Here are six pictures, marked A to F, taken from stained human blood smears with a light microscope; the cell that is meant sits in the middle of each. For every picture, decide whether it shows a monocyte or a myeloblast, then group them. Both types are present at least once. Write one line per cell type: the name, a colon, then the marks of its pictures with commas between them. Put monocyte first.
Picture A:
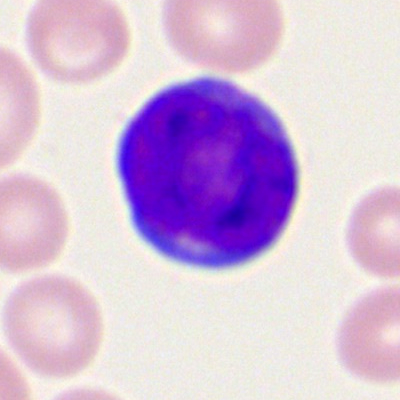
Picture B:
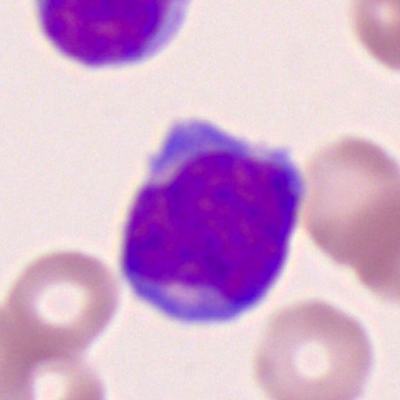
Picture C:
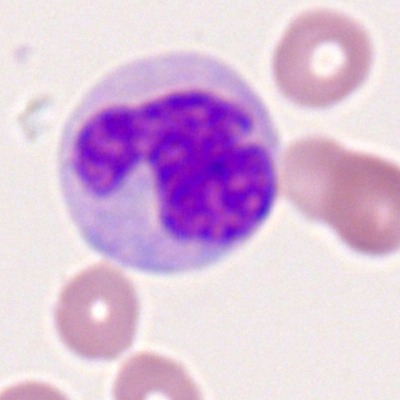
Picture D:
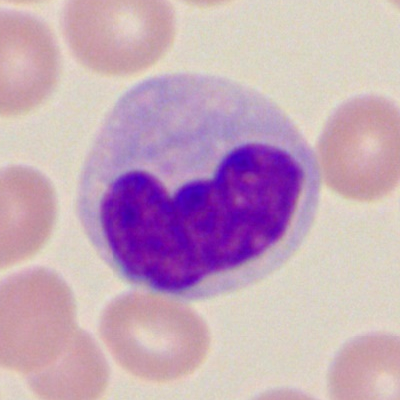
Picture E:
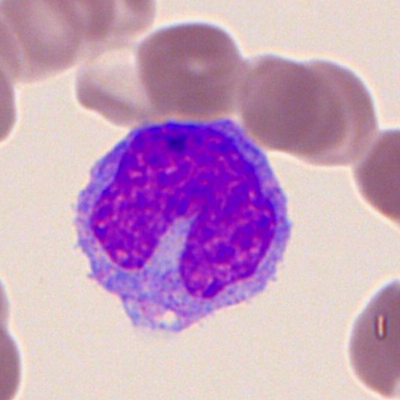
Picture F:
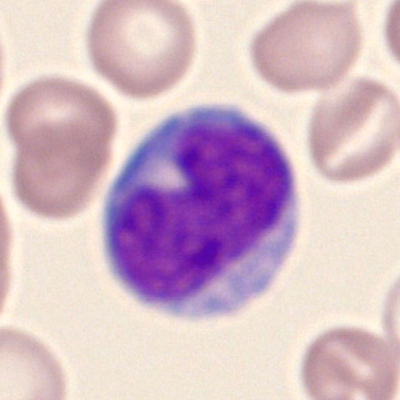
monocyte: C, D, E, F
myeloblast: A, B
